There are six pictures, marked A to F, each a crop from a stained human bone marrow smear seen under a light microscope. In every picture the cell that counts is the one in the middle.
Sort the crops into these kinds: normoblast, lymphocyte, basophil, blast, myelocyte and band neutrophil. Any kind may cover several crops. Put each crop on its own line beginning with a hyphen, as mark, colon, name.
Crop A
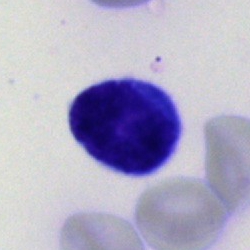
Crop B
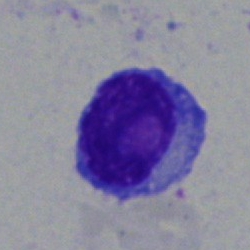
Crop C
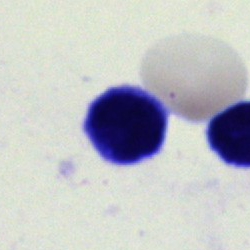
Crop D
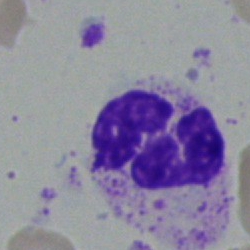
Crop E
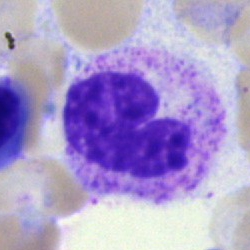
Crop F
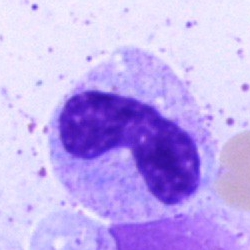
- A: lymphocyte
- B: lymphocyte
- C: lymphocyte
- D: basophil
- E: band neutrophil
- F: band neutrophil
